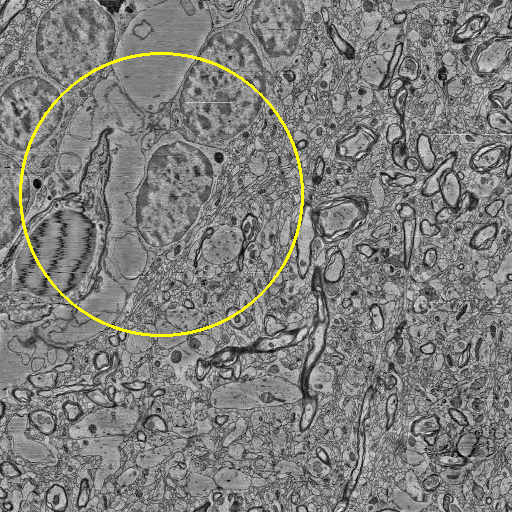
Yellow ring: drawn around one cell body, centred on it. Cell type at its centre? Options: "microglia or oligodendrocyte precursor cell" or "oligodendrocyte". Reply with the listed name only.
microglia or oligodendrocyte precursor cell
